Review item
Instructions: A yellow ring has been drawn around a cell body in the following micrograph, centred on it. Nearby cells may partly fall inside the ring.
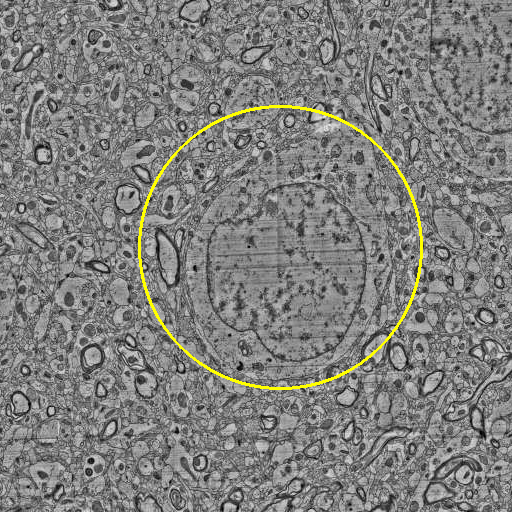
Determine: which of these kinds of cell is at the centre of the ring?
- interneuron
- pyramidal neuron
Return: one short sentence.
The cell body in the middle of the ring is that of a pyramidal neuron.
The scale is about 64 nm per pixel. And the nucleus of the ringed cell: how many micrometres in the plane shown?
About 11 micrometres across in this plane, for the nucleus.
